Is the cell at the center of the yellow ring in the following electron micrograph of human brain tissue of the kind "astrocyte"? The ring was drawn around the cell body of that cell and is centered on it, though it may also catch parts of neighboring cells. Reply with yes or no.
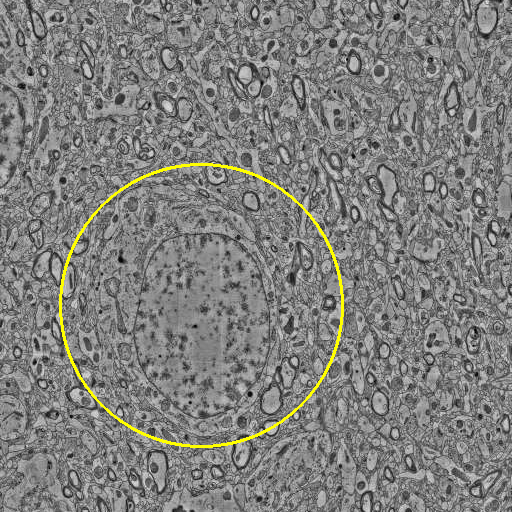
No, it is of another kind.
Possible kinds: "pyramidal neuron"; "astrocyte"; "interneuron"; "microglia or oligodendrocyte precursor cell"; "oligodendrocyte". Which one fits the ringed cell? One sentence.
The cell ringed in the picture is a pyramidal neuron.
